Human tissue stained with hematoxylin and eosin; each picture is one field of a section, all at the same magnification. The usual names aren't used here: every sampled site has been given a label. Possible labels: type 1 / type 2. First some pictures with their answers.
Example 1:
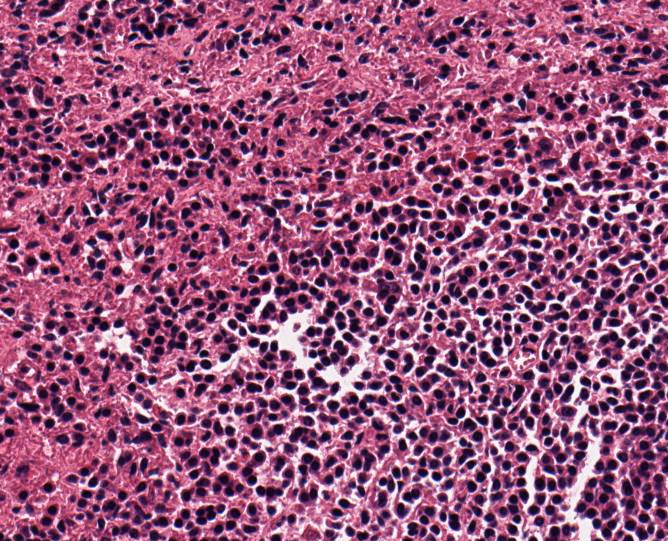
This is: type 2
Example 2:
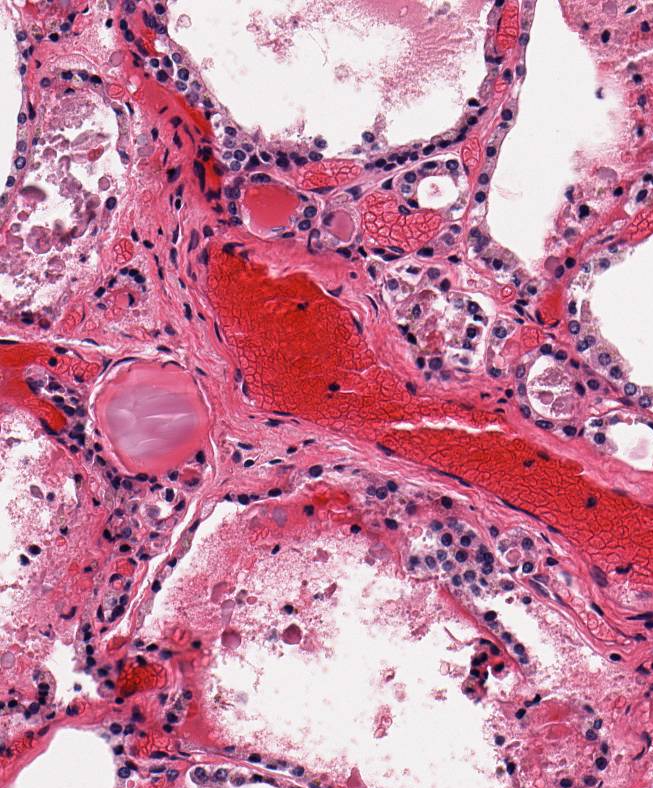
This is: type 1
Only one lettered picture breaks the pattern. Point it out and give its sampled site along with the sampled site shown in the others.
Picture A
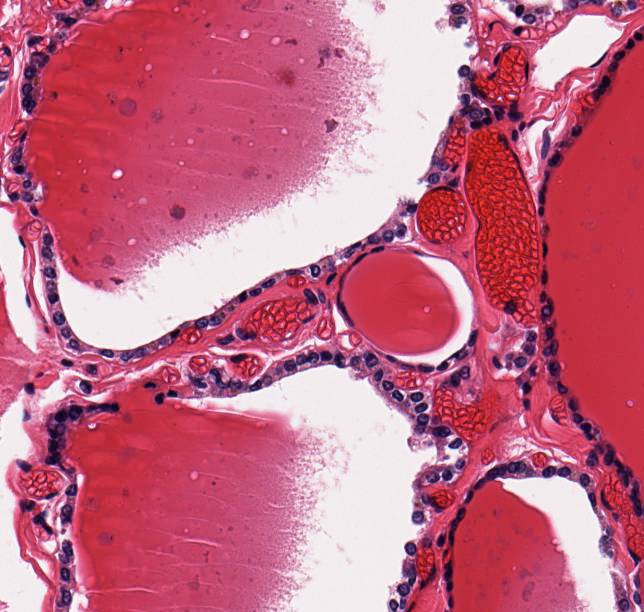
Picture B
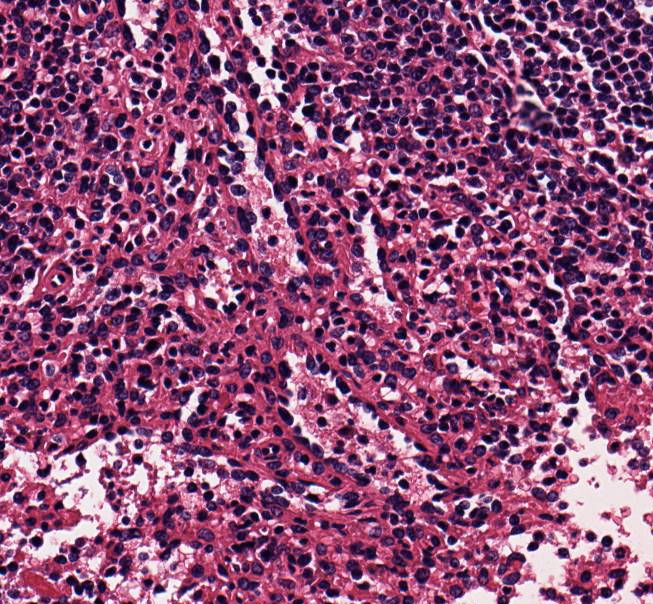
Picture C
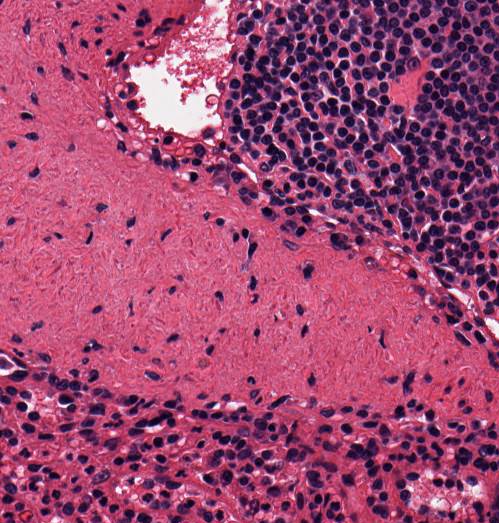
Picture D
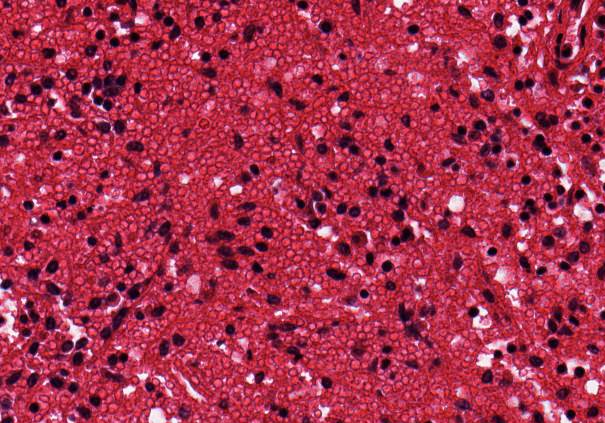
Odd one out: A (type 1). The rest: type 2.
